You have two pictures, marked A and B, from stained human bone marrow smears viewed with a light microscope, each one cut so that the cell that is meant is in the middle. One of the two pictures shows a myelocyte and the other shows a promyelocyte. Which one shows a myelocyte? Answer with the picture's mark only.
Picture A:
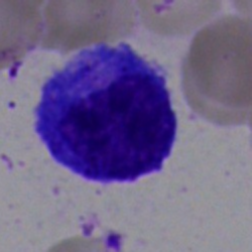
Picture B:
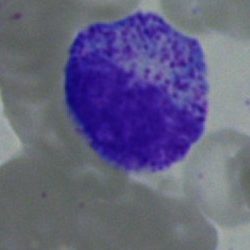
B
